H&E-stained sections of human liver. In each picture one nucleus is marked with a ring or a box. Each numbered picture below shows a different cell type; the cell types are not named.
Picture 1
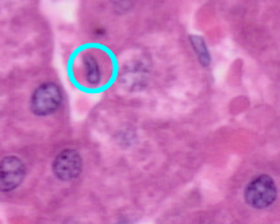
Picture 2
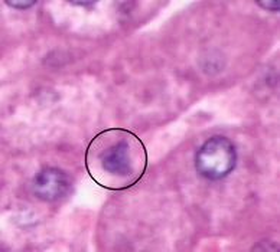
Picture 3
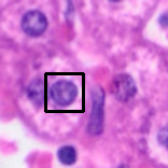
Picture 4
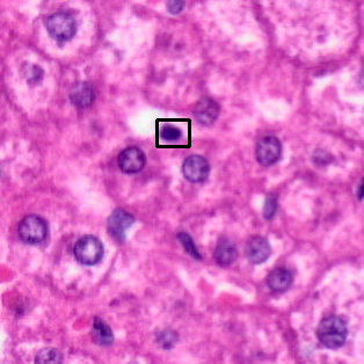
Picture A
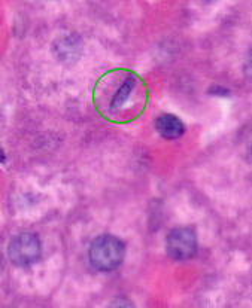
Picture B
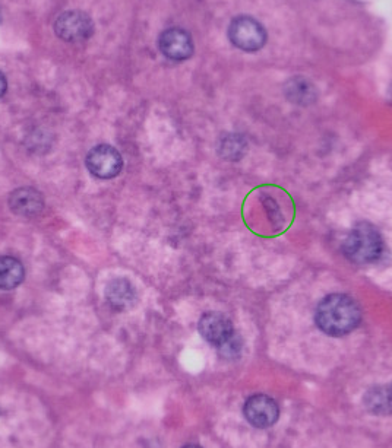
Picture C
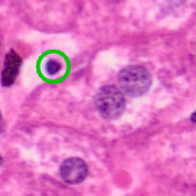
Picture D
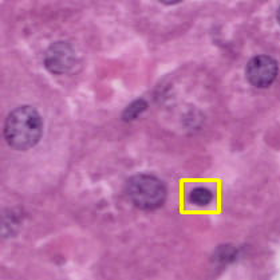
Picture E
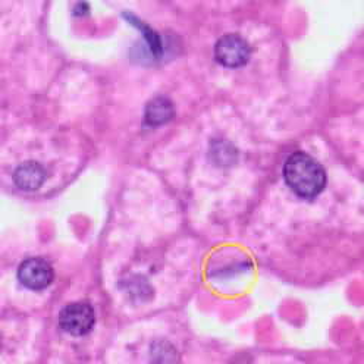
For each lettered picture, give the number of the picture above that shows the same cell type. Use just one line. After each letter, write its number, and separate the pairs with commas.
A 2, B 2, C 4, D 4, E 2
